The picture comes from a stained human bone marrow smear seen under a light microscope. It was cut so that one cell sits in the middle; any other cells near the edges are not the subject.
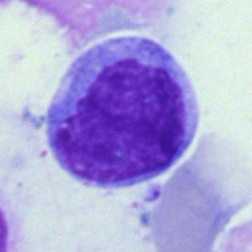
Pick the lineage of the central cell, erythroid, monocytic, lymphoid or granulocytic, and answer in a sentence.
The cell located at the center of the crop is monocytic by lineage.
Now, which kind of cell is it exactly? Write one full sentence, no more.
What the crop centres on is a monocyte.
